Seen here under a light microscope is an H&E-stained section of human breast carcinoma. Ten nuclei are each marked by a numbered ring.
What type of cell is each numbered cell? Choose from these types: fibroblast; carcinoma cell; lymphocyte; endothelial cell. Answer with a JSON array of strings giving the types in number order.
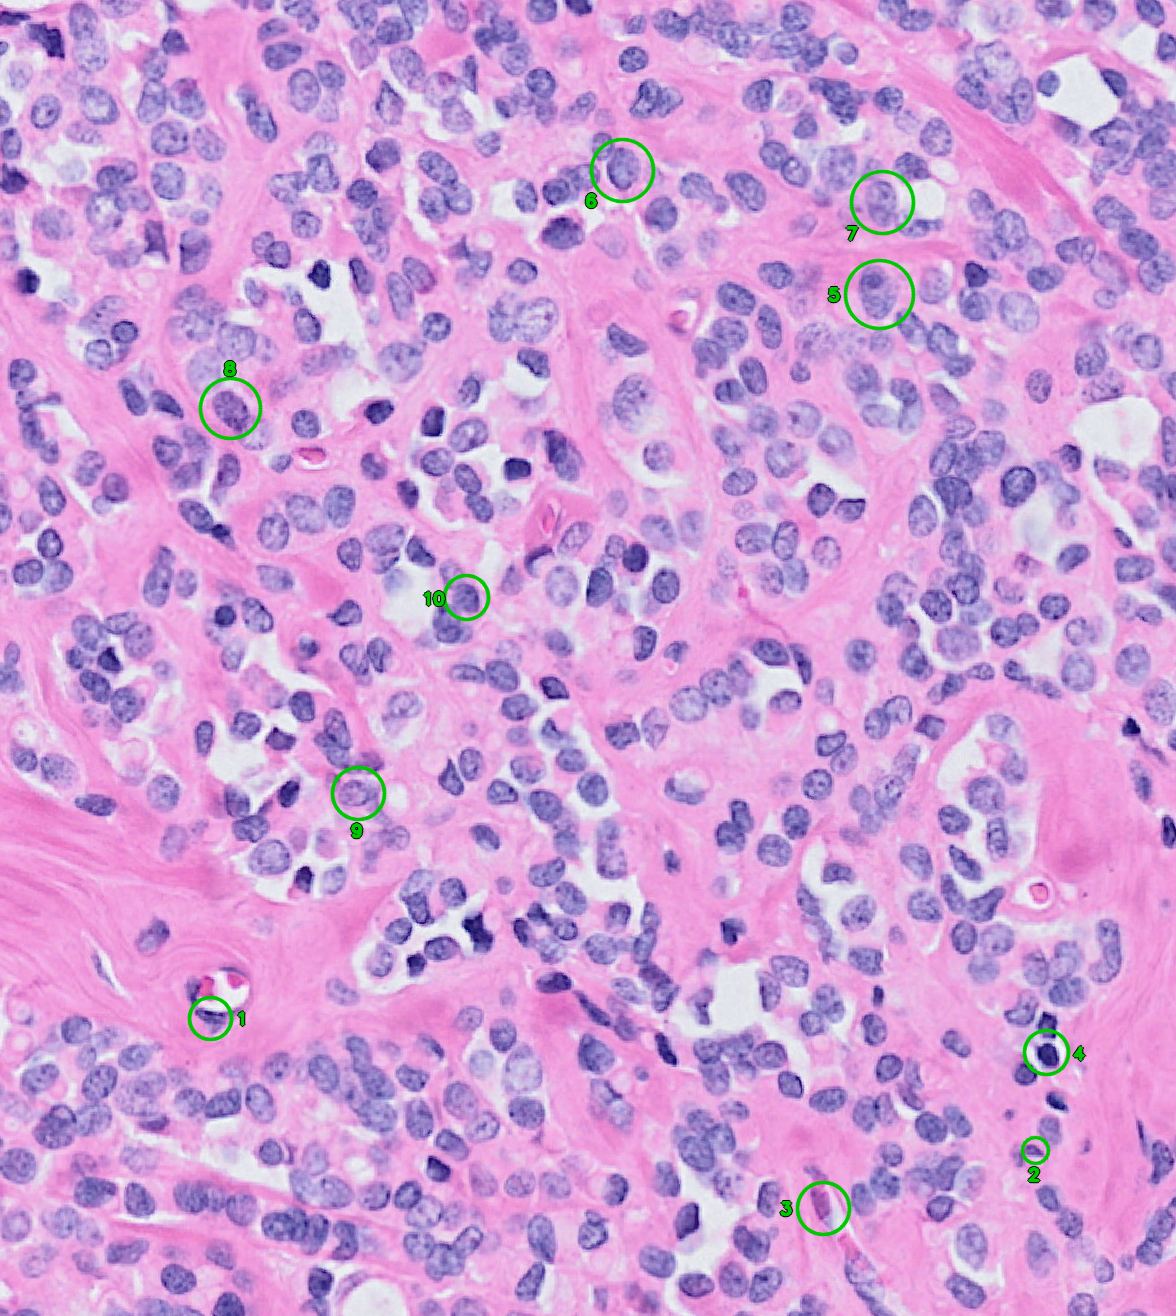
["endothelial cell", "endothelial cell", "endothelial cell", "lymphocyte", "carcinoma cell", "carcinoma cell", "carcinoma cell", "carcinoma cell", "carcinoma cell", "carcinoma cell"]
